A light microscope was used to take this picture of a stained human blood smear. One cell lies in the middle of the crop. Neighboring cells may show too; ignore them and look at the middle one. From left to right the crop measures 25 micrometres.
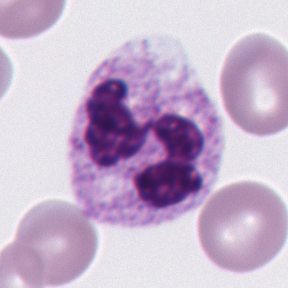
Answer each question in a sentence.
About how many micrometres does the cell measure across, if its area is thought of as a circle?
Taken as a circle, the cell has a diameter of about 14 micrometres.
